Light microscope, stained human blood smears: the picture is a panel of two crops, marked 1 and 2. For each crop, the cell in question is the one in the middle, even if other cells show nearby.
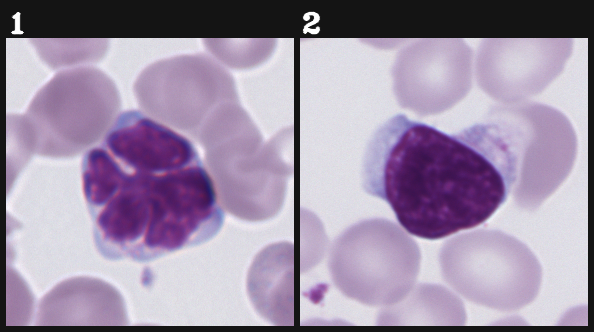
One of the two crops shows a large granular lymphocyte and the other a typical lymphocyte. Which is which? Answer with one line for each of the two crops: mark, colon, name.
1: large granular lymphocyte
2: typical lymphocyte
